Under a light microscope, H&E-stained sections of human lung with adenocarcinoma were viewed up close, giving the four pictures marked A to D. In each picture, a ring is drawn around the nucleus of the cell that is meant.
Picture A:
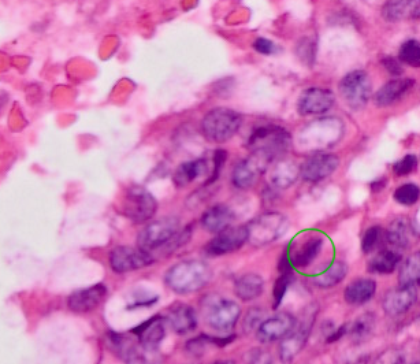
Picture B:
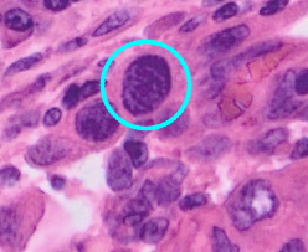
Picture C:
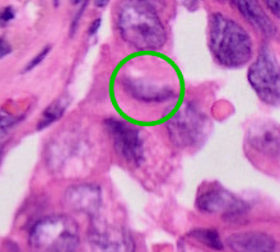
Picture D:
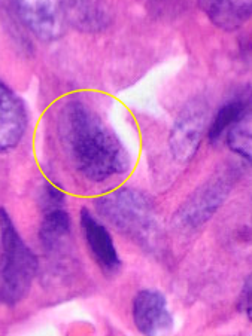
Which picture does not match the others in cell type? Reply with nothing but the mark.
A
